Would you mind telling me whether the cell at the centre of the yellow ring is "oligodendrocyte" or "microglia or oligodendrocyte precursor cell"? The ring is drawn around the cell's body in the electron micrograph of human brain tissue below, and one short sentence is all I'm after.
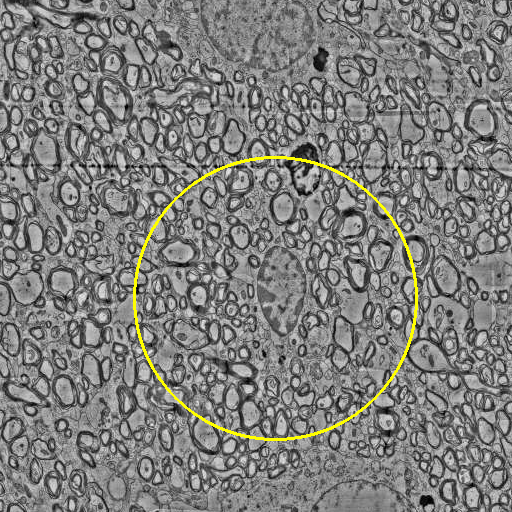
In the centre of the ring lies a microglial cell or oligodendrocyte precursor cell.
